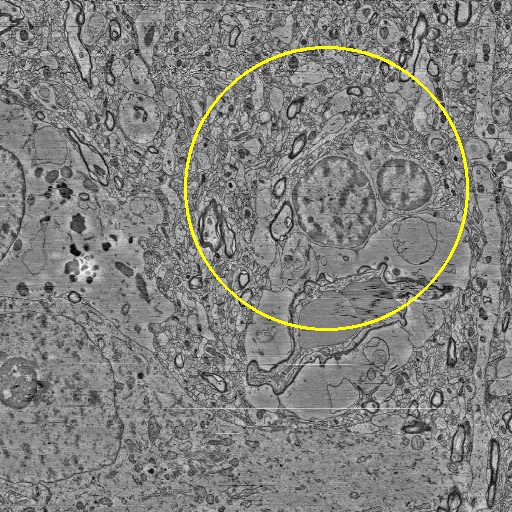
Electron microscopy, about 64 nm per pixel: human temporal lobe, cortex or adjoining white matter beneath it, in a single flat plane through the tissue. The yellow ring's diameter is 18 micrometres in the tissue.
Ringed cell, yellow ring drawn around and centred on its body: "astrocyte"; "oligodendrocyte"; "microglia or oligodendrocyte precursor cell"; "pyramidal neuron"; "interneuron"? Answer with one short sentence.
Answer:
This ringed cell is an oligodendrocyte.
